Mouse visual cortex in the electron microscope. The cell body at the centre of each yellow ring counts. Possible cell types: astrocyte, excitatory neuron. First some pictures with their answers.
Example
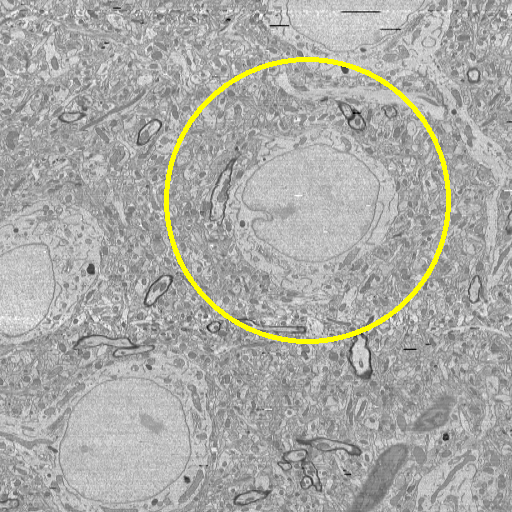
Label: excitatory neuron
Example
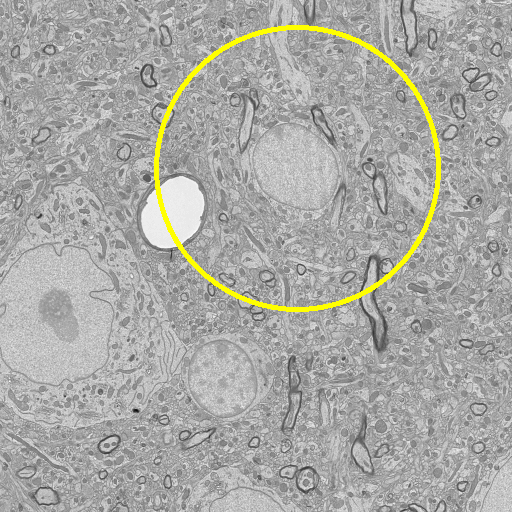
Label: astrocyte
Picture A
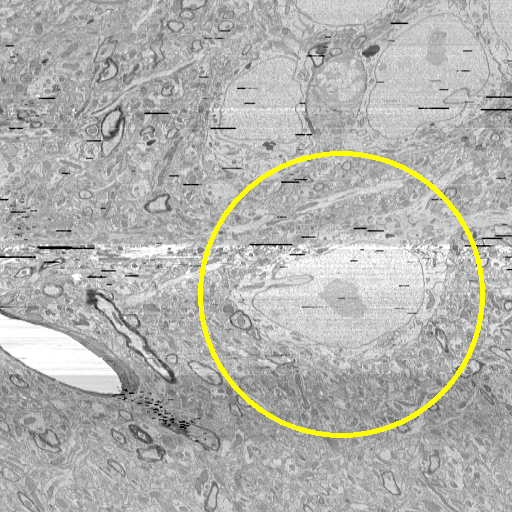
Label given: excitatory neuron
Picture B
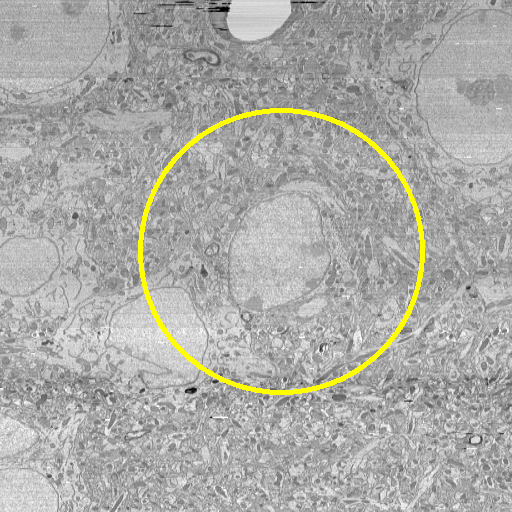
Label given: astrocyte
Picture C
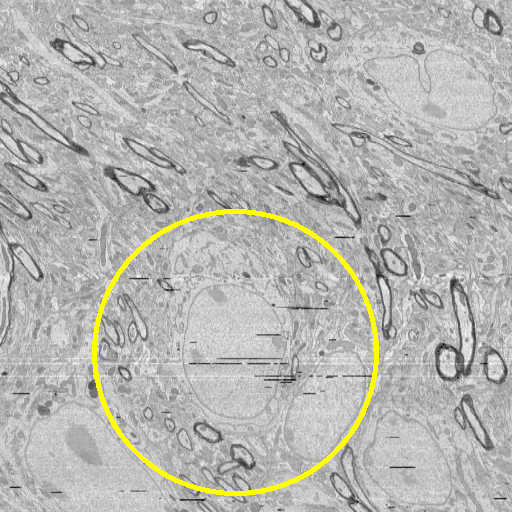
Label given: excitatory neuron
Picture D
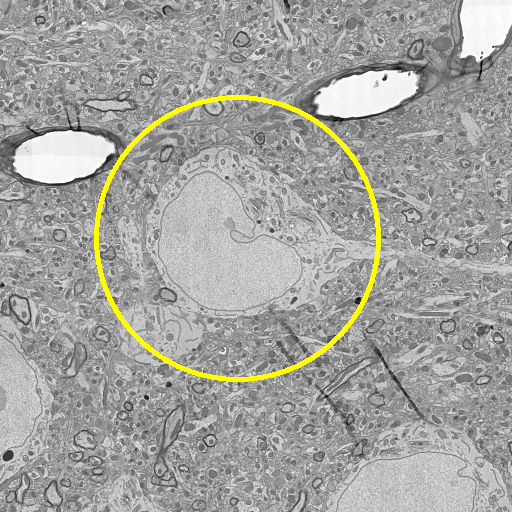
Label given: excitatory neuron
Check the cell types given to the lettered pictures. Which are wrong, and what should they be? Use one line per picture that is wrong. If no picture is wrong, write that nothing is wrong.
Every label is right.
